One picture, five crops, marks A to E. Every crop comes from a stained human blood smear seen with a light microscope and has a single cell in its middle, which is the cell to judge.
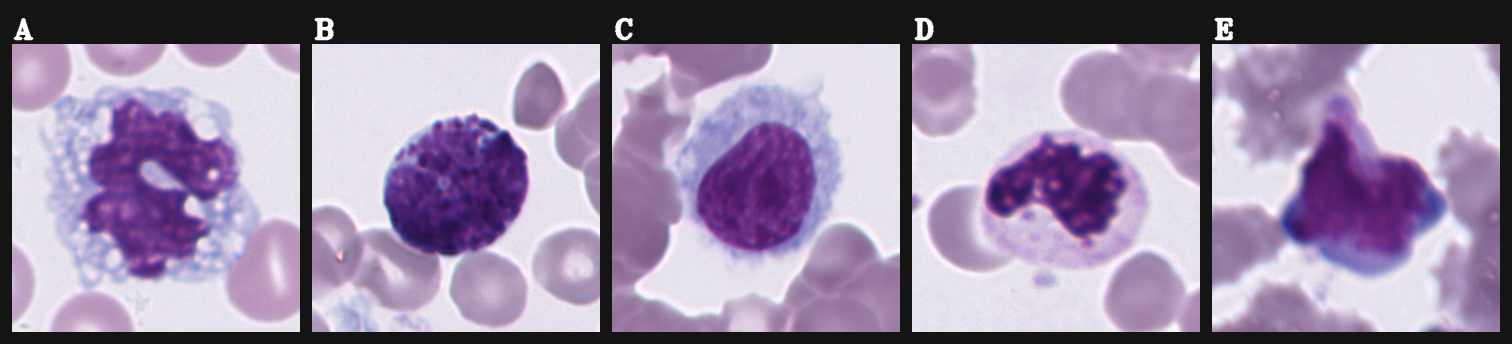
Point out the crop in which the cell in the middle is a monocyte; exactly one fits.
A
